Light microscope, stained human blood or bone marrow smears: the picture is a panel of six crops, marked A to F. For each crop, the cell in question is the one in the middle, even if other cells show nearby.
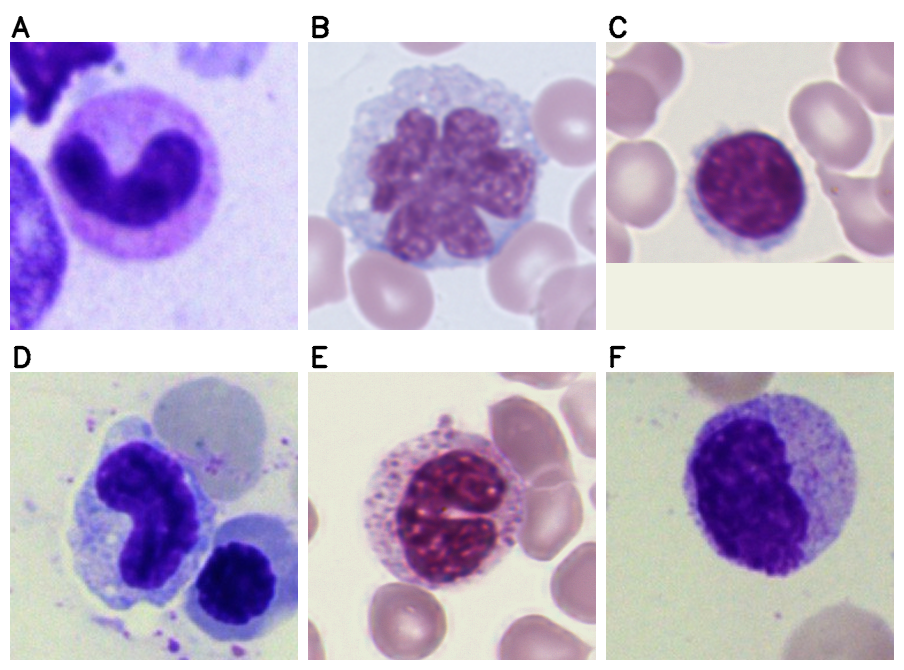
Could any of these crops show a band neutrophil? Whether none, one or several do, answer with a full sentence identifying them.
Crops A, D and E, looked at one by one, show band neutrophils in the middle.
